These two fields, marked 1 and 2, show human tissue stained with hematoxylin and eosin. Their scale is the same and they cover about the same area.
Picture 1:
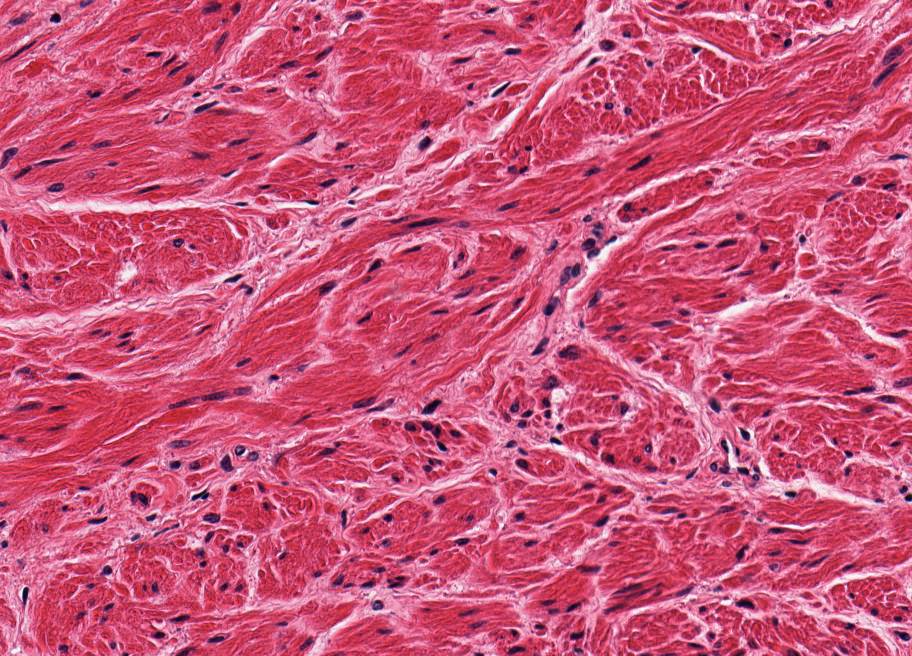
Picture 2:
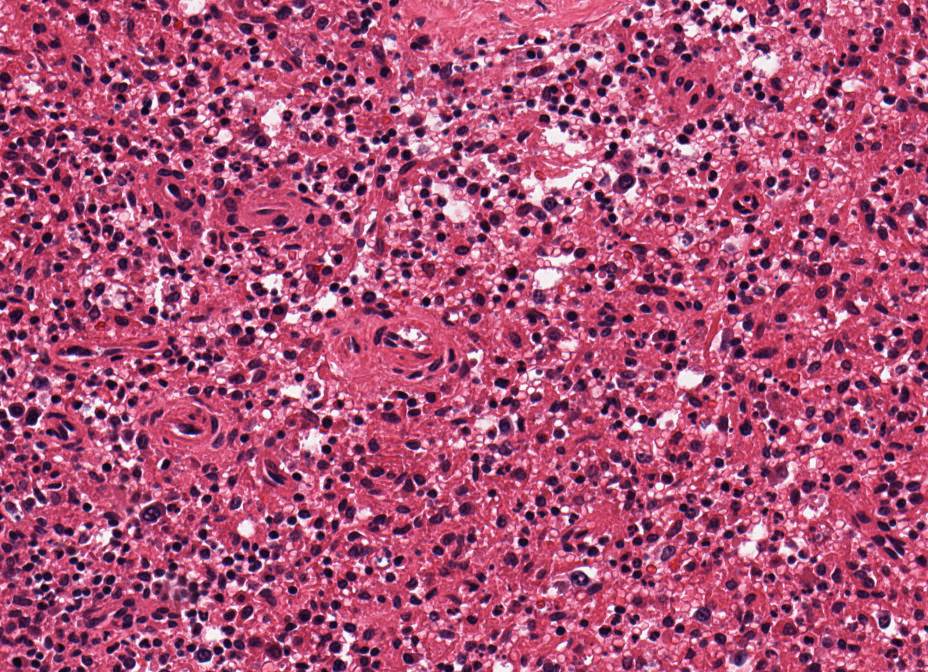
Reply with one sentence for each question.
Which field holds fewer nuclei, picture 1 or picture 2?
It is picture 1 that has fewer nuclei in it.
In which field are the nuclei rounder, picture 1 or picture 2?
The nuclei are rounder in picture 2.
